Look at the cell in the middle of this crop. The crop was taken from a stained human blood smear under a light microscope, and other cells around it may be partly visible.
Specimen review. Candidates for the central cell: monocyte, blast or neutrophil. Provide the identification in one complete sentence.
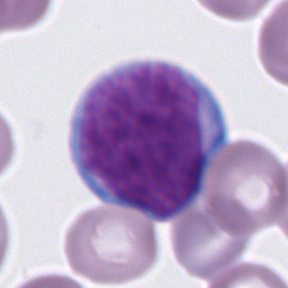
By classification, the middle cell of this crop is a blast.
